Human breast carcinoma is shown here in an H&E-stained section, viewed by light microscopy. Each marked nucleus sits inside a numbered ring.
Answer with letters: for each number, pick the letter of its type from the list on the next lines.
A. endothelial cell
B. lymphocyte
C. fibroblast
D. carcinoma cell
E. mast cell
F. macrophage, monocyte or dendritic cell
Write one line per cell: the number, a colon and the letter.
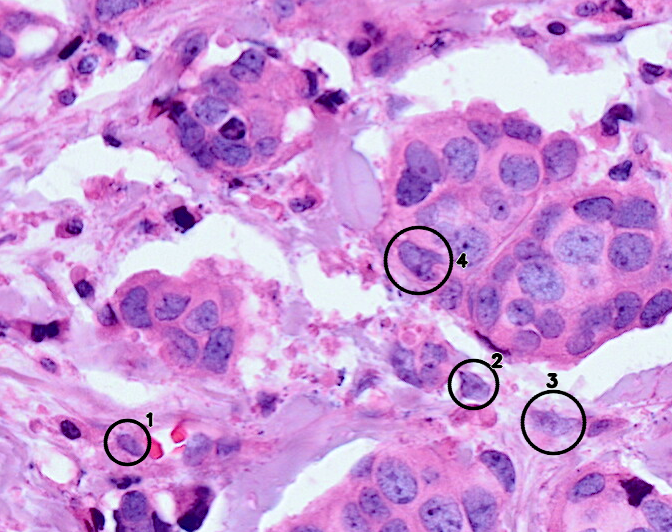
1: A
2: C
3: C
4: D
